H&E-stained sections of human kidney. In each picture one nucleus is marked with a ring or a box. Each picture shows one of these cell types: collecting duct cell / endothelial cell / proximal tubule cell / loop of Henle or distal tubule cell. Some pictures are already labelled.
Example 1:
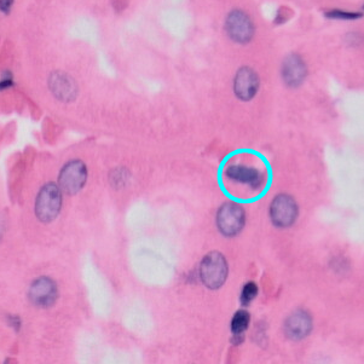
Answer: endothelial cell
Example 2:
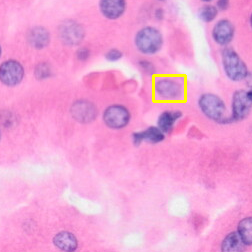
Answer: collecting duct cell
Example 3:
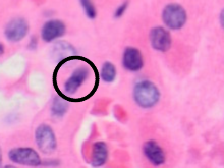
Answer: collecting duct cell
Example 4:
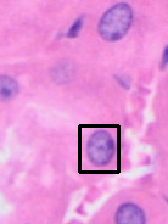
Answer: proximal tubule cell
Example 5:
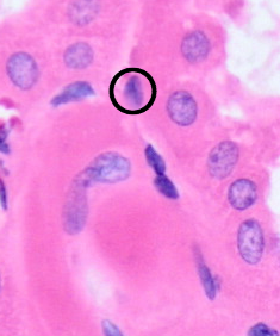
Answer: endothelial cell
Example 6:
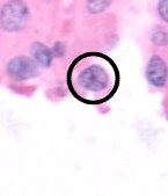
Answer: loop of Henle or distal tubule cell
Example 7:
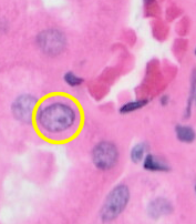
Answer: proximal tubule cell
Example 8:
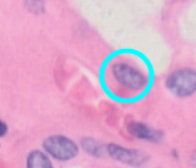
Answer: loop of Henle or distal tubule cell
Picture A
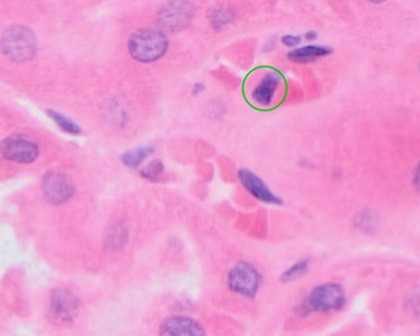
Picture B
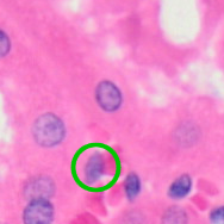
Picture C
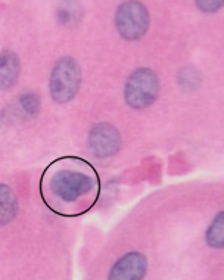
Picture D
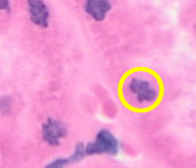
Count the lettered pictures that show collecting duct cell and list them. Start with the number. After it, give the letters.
0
